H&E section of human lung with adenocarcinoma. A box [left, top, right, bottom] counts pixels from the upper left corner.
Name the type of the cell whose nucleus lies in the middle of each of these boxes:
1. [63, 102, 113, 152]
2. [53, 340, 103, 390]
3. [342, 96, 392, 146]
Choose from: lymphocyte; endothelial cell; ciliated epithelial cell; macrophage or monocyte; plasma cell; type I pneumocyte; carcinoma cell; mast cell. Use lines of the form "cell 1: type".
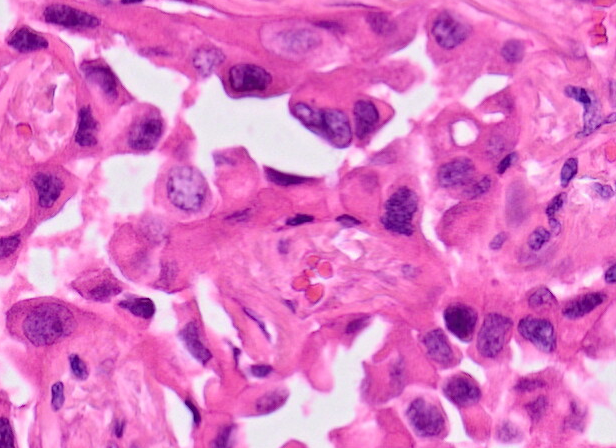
cell 1: carcinoma cell
cell 2: lymphocyte
cell 3: carcinoma cell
